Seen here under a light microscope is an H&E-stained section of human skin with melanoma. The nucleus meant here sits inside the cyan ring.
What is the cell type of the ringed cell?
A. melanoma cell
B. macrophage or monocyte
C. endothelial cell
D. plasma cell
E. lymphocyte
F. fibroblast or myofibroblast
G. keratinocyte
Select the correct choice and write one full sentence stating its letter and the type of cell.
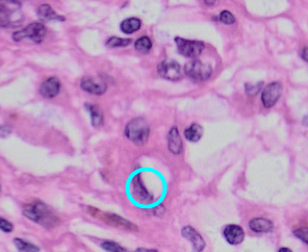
Option C is correct here; the ringed cell is an endothelial cell.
